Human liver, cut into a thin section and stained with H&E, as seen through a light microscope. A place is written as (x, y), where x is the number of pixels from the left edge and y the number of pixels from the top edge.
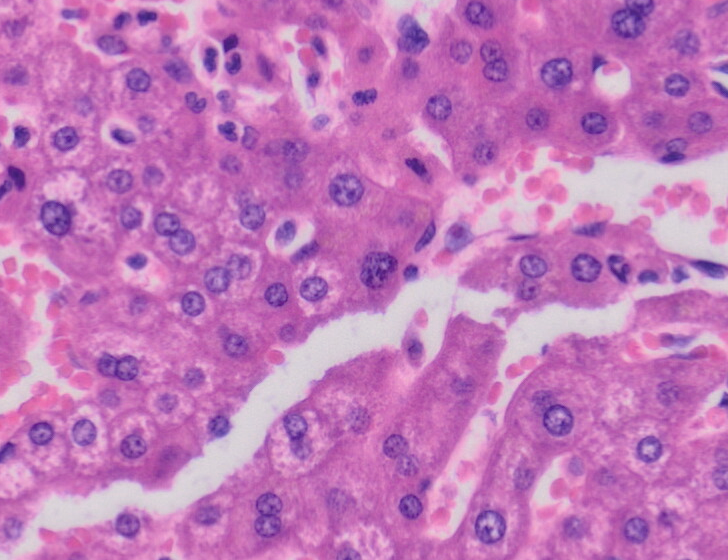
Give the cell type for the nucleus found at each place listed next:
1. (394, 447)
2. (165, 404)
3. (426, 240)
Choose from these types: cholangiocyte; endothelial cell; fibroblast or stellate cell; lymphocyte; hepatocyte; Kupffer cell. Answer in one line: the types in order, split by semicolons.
hepatocyte; hepatocyte; fibroblast or stellate cell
